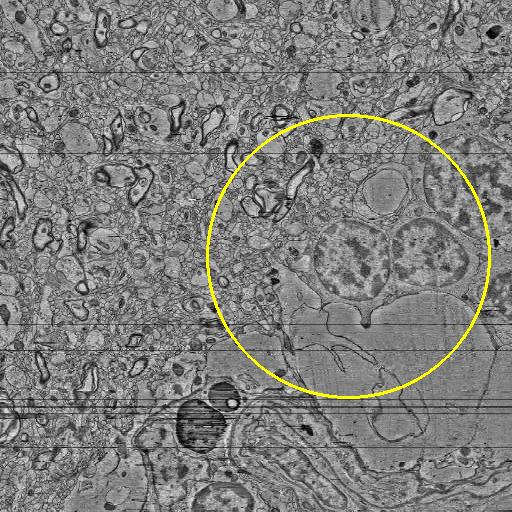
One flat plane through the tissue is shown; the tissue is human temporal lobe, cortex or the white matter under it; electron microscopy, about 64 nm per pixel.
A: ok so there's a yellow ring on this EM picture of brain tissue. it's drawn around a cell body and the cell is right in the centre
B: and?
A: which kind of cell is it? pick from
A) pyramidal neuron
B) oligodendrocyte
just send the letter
B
